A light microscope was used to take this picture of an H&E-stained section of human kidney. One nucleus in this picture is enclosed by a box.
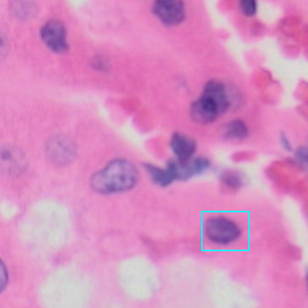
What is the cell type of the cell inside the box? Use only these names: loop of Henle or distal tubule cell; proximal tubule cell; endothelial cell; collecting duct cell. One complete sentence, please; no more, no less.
As classified here, the cell inside the box is a proximal tubule cell.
